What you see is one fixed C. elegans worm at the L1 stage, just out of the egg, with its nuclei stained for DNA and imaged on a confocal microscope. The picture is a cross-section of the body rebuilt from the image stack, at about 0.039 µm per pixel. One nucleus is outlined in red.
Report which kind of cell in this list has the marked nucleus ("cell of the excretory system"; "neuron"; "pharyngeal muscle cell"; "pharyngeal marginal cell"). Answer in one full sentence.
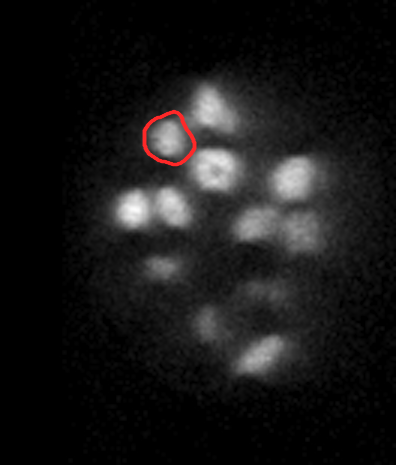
It belongs to a cell of the excretory system.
